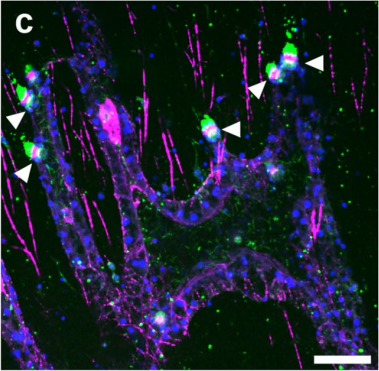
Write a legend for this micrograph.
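A branching tubular canal is seen, its walls lined by cells whose blue nuclei are spread along the tube. The canal outline is faintly magenta, and the space around it is dark. Along the outer margins of the canal sit several small compact structures, each a bright green tuft with a band or ring of magenta beneath it. These tufts are separated from each other along the canal edge. Long thin magenta streaks cross the background outside the canal, running in roughly parallel directions.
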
